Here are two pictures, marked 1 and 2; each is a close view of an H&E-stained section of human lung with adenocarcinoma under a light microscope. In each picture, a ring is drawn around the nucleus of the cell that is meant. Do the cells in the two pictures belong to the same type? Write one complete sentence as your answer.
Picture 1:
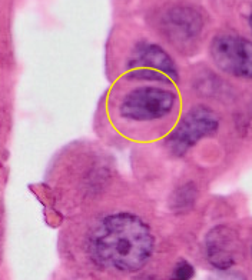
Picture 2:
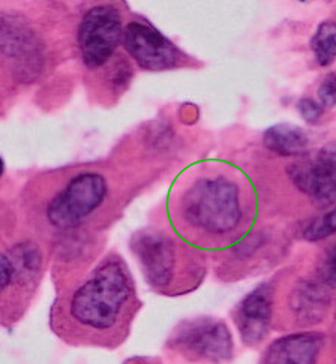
Yes; the cells in both pictures are carcinoma cells.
